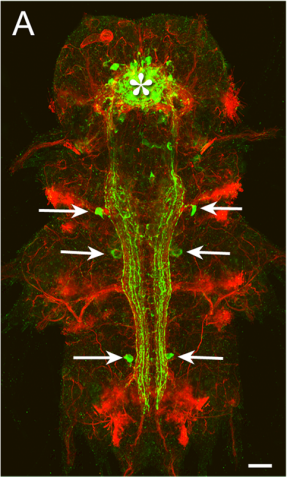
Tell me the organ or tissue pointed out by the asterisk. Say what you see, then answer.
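The asterisk lies on a dense green mass at the anterior end of the body. Two green fibre tracts run back from this mass along the midline.
Brain.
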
